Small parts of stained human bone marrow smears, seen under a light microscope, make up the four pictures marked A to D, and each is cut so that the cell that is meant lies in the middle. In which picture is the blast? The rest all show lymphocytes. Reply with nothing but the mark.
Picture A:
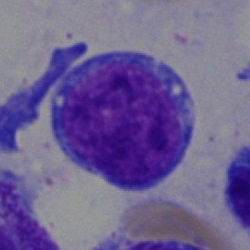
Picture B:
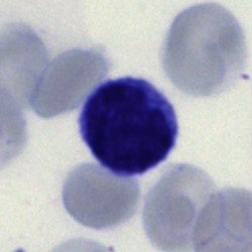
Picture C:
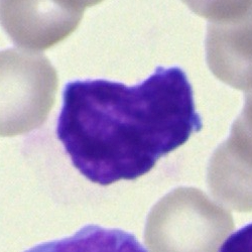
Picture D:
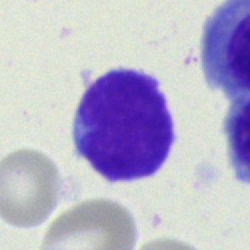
C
